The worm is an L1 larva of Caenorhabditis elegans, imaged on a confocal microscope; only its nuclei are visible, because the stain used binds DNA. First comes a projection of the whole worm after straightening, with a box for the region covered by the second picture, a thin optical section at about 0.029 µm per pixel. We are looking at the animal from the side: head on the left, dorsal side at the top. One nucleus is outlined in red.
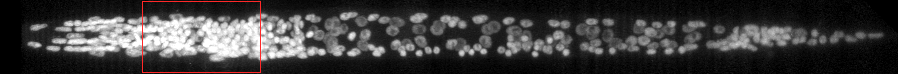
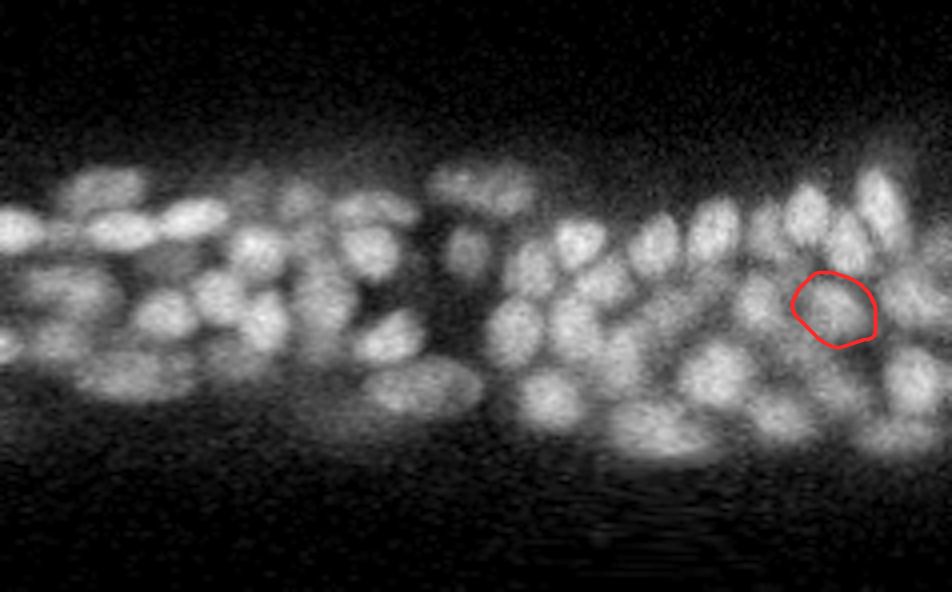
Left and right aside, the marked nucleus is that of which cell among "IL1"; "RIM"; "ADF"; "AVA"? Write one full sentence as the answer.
This is the nucleus of RIM, a neuron.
